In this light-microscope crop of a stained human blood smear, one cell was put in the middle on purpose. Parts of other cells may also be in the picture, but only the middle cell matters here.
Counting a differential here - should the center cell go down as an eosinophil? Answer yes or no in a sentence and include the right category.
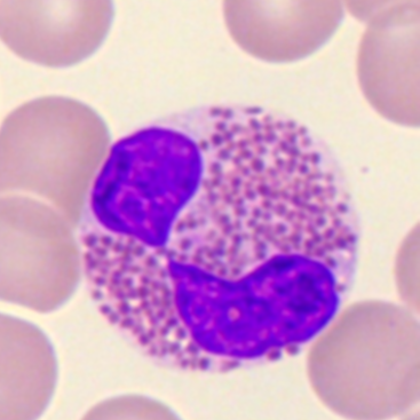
Yes, at the centre of the crop lies an eosinophil.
